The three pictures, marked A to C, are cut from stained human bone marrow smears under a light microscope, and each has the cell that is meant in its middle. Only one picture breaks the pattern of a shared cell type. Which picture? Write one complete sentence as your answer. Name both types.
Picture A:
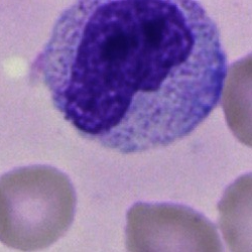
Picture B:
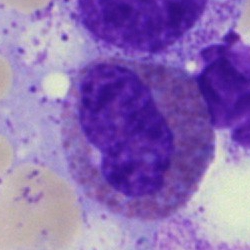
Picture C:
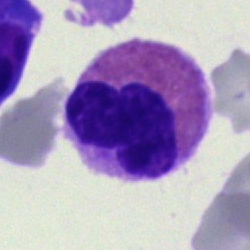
Picture A is the odd one out: it shows a metamyelocyte, while the others show eosinophils.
